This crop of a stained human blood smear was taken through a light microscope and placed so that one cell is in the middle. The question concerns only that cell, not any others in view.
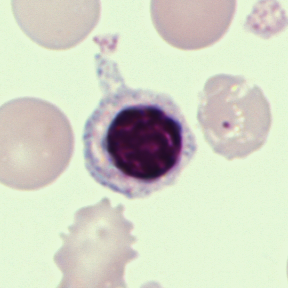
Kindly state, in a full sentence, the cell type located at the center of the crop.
In the central position of this crop, the cell is an erythroblast.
